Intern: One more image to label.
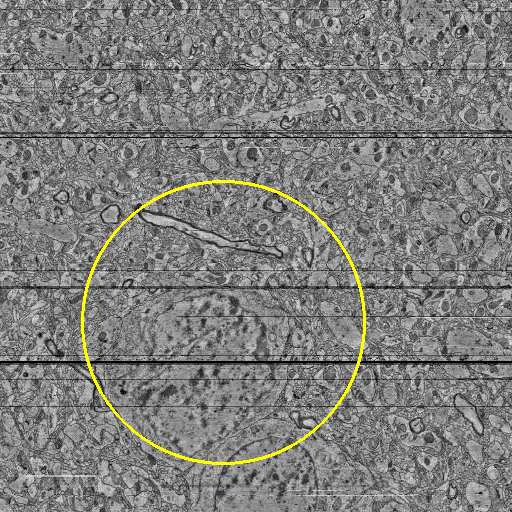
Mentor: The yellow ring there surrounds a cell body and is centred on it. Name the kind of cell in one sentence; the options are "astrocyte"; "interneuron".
The ring marks the cell body of an interneuron.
